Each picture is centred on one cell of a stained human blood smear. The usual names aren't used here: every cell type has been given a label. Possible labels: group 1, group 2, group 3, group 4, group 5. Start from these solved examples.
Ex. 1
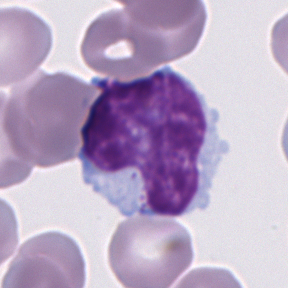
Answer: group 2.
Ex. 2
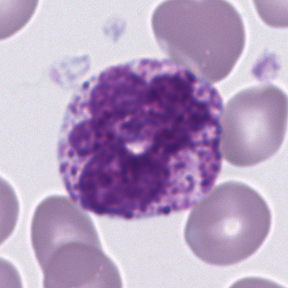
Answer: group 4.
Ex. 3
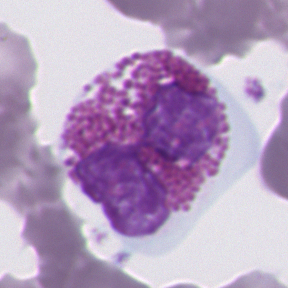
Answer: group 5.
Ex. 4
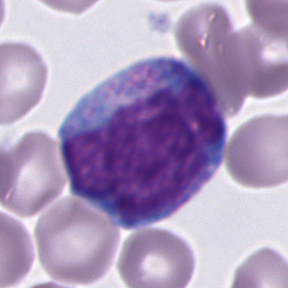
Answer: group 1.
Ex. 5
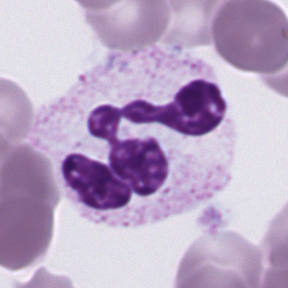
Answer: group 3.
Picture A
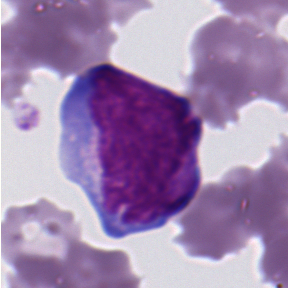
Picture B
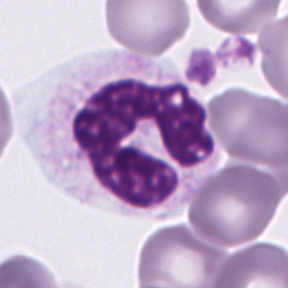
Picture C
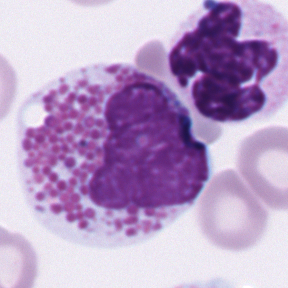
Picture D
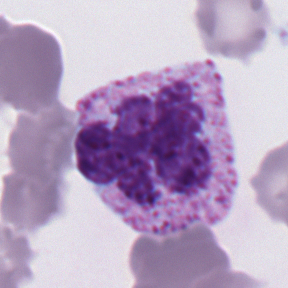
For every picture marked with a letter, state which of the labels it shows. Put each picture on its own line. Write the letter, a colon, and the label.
A: group 2.
B: group 3.
C: group 5.
D: group 4.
